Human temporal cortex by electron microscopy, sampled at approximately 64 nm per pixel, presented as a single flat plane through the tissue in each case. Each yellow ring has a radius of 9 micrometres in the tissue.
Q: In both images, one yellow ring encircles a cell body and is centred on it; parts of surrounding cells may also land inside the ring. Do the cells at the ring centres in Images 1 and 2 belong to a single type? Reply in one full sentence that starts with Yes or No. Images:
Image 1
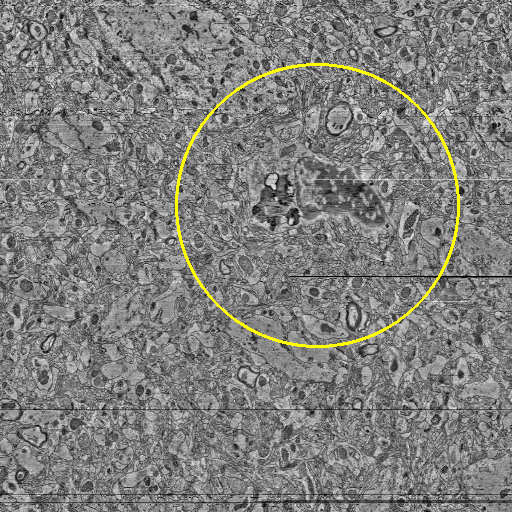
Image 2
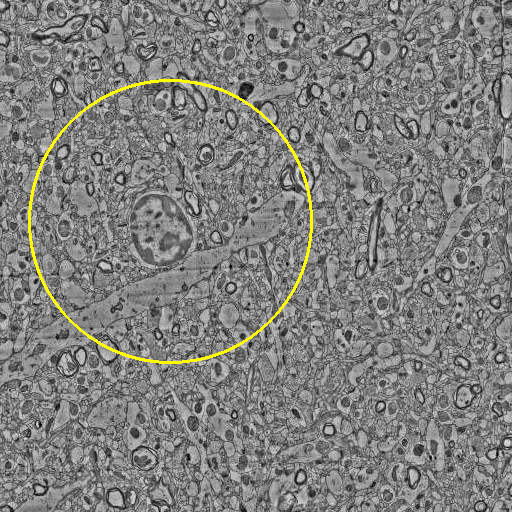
Yes, the cells at the ring centres in Images 1 and 2 are of a single type.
